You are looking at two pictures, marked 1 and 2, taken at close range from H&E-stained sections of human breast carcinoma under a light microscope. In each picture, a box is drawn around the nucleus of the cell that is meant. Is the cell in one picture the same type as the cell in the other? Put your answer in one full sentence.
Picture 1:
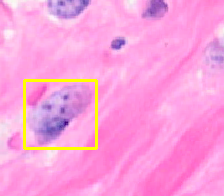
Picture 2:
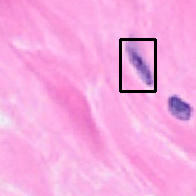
No, they differ: the cell is an endothelial cell in picture 1 and a fibroblast in picture 2.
